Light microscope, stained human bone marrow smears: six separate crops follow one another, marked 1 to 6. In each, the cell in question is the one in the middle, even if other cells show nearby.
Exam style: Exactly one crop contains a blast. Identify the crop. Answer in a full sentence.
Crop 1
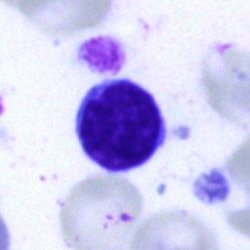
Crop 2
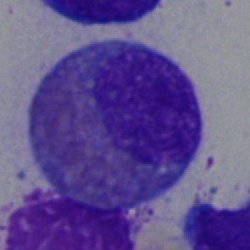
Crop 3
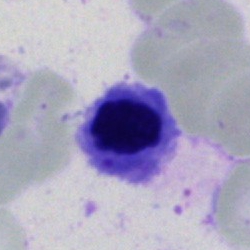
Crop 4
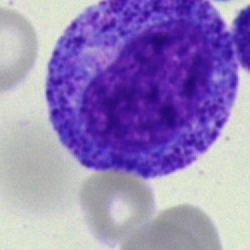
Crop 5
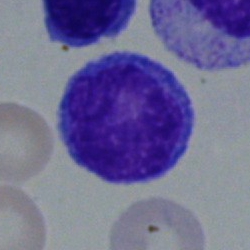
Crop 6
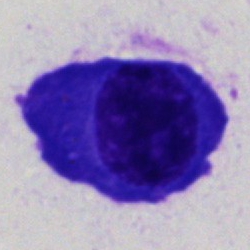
Among the crops given, only crop 5 shows a blast.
